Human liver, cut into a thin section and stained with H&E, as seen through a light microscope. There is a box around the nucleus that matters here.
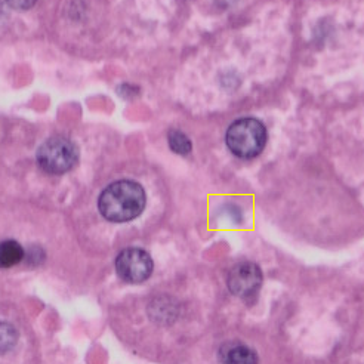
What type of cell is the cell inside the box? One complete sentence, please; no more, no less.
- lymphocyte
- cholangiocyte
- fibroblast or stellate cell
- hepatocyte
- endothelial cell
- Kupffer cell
What the cell inside the box represents is an endothelial cell.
